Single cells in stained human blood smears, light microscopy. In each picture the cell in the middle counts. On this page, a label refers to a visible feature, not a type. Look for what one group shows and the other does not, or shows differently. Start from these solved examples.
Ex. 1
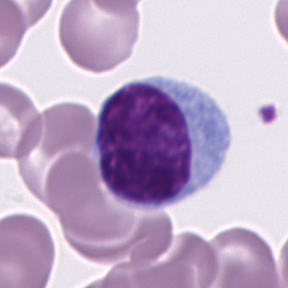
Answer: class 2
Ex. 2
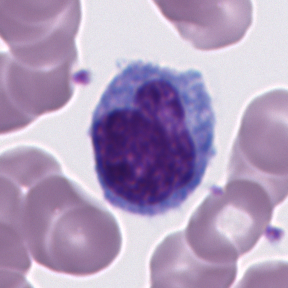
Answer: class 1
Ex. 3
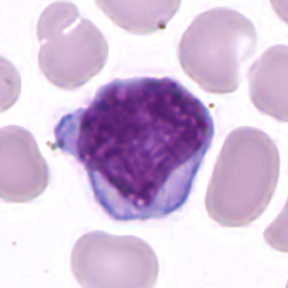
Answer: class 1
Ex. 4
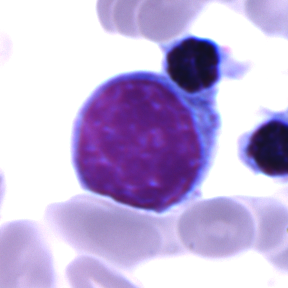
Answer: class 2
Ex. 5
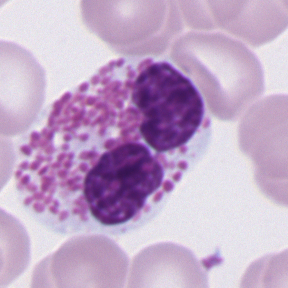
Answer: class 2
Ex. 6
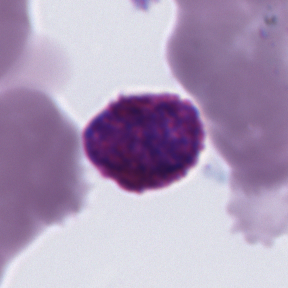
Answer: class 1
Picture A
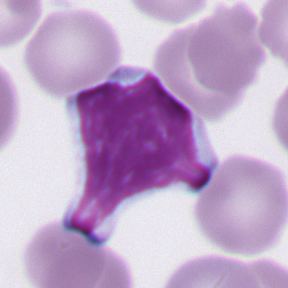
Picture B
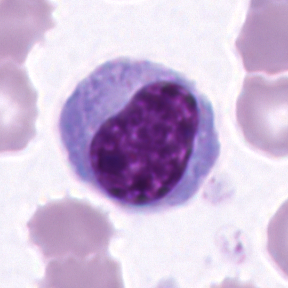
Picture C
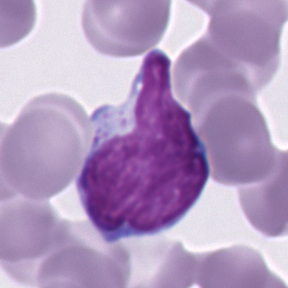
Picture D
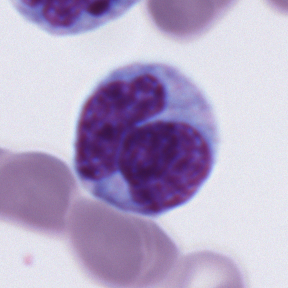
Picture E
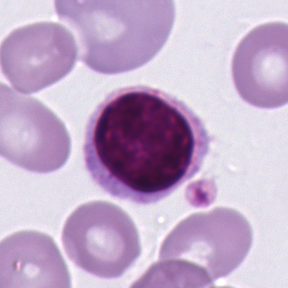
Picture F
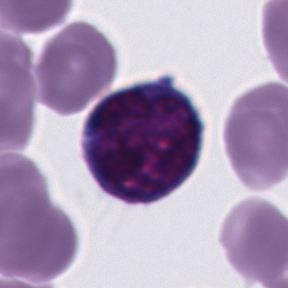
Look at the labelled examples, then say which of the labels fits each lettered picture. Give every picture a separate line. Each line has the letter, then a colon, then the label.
A: class 1
B: class 2
C: class 1
D: class 2
E: class 1
F: class 1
